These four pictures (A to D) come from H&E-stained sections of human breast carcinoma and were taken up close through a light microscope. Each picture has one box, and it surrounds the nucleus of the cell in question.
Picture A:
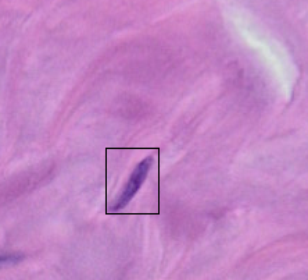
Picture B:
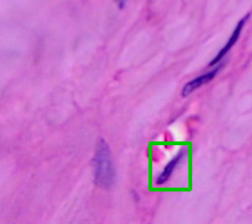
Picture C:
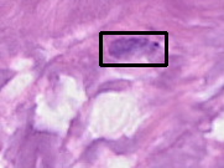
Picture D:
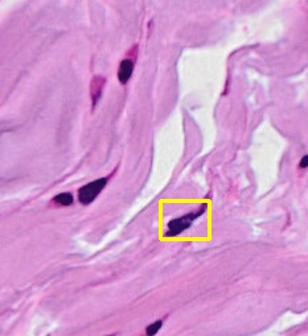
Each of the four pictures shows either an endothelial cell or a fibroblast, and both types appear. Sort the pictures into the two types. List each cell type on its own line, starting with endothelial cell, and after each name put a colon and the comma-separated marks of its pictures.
endothelial cell: B
fibroblast: A, C, D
